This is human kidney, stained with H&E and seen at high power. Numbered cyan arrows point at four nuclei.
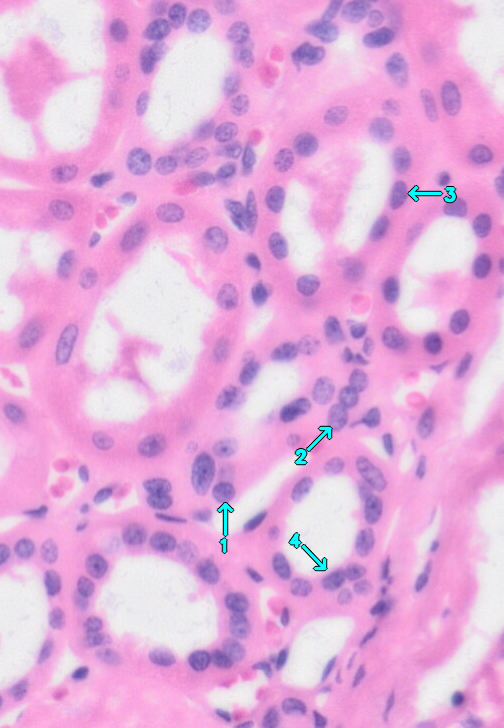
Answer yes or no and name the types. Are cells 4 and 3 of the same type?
No, what is marked as cell 4 is a collecting duct cell, and what is marked as cell 3 is a loop of Henle or distal tubule cell.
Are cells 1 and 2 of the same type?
Yes, cells 1 and 2 fall into the same group, both being collecting duct cells.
